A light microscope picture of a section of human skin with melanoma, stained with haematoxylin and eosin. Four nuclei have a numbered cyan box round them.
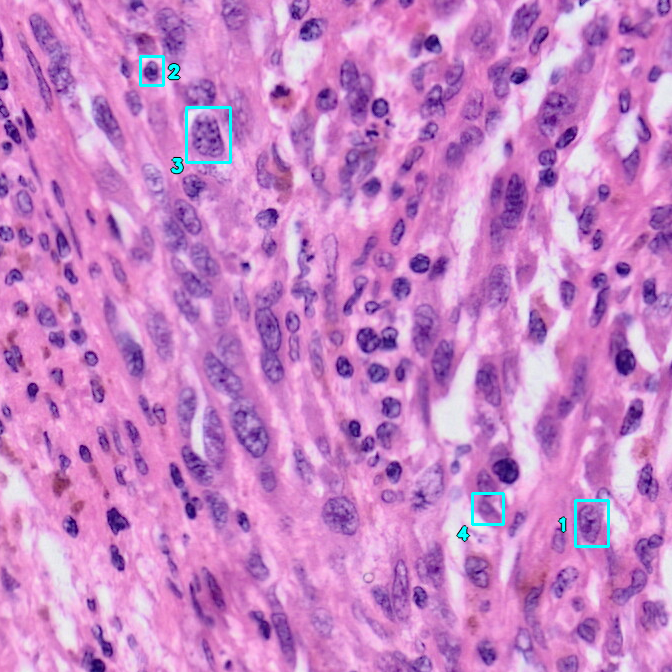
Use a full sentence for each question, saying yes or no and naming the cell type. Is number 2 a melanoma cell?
No, a melanoma cell is not what cell 2 is; it is a lymphocyte.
